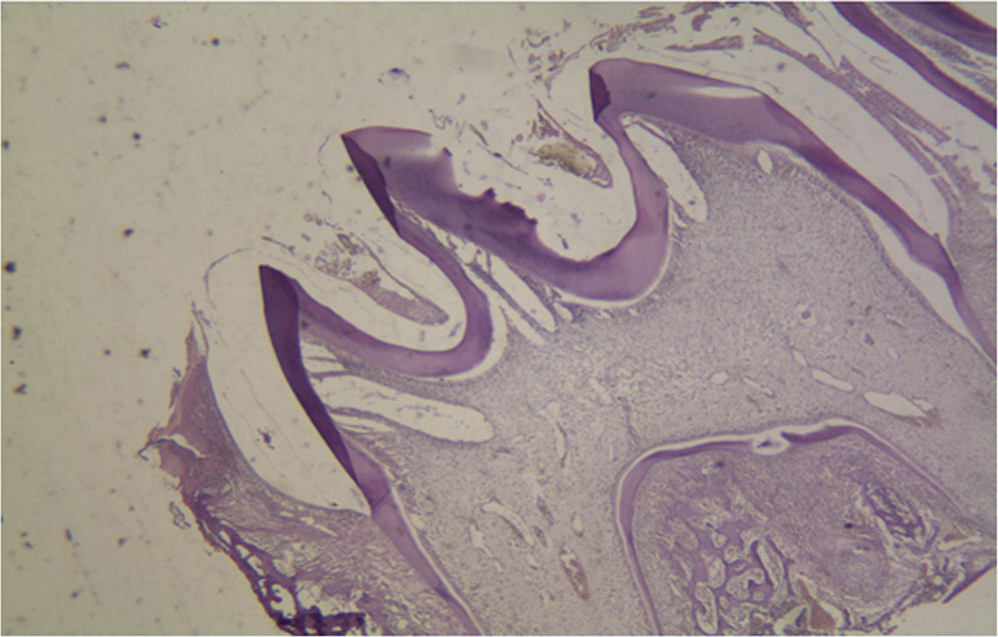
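A low-magnification section of a multi-cusped molar. Several tall, pointed cusps rise side by side. Each is walled by a dense, homogeneous purple band of dentin that is thickest at the tips and thins toward the base. The cusps enclose a common pulp of loose, finely cellular connective tissue. Pale, empty clefts and wispy strands run along the outer surfaces of the cusps, and some debris lies between them. At the lower right, a separate rounded structure is outlined by a thin purple layer. It contains irregular, spongy tissue with bony trabeculae. Soft tissue borders the section at the lower left.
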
